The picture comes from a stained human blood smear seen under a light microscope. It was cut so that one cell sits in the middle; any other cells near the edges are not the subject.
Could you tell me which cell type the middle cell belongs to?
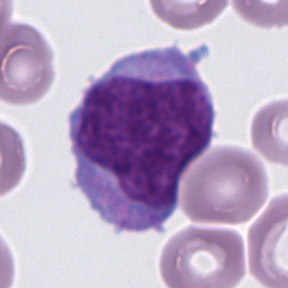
atypical promyelocyte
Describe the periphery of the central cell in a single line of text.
Ragged or projecting, the border of this cell departs from a smooth contour.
